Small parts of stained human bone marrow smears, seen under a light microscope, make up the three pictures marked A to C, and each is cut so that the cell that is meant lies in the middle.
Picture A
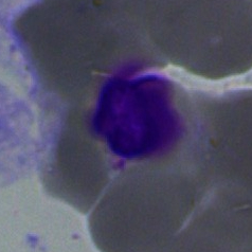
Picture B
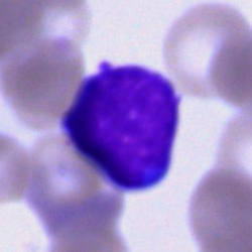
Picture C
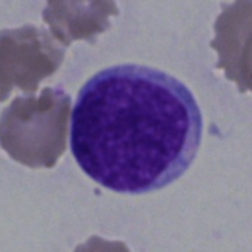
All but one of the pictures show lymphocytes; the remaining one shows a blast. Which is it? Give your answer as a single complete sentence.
The blast is the one in picture C.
